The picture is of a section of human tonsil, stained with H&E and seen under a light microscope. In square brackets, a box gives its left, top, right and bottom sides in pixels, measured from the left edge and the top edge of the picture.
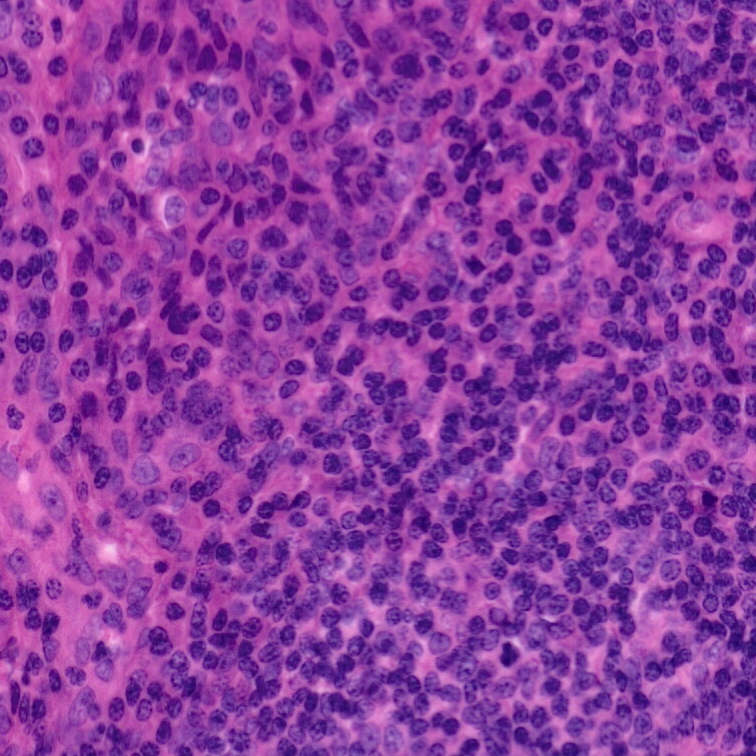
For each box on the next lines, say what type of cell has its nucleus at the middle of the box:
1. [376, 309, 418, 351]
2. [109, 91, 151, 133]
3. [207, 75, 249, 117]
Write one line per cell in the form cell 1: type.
cell 1: plasma cell
cell 2: squamous epithelial cell
cell 3: plasma cell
